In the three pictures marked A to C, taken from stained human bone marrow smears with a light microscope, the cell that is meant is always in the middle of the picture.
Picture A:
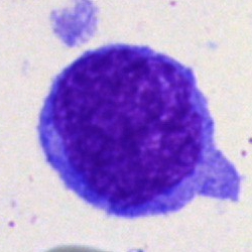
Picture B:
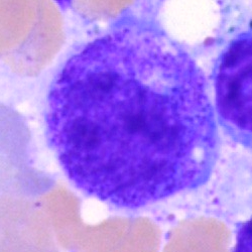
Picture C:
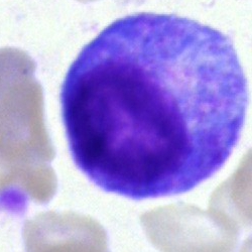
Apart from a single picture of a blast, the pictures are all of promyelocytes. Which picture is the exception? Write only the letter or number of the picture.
A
